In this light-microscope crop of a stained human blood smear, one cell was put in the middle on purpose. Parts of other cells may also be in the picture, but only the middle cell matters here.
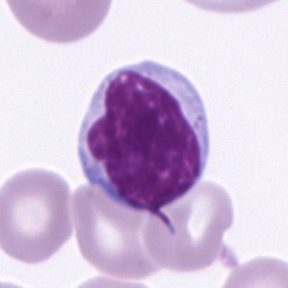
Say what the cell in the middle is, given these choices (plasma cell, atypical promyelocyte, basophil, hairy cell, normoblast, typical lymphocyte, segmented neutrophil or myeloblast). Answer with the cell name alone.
typical lymphocyte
